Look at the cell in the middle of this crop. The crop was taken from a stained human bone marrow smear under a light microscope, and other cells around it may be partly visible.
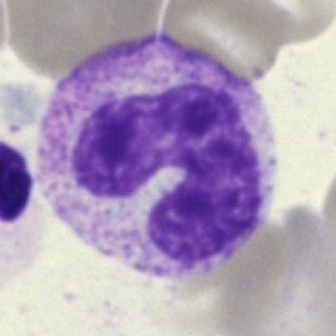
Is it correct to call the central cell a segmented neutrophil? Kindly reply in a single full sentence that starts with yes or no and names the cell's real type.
No, the cell sitting in the middle is a band neutrophil, and it is not a segmented neutrophil.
